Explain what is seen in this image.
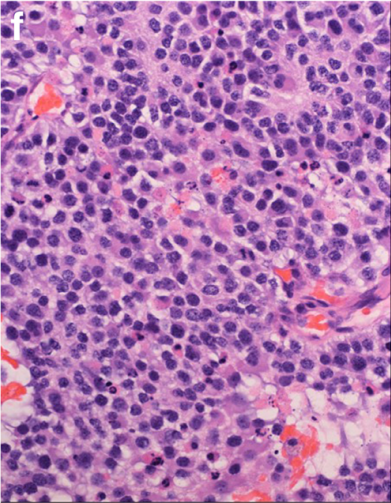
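This is a densely cellular tumour. It is made of closely packed cells with round, fairly uniform, dark purple nuclei and scant pink cytoplasm. Many cells sit in clear, pale spaces. Small vessels filled with bright red blood cells run between the sheets of cells, and pale, vacuolated areas lie at the lower right.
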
